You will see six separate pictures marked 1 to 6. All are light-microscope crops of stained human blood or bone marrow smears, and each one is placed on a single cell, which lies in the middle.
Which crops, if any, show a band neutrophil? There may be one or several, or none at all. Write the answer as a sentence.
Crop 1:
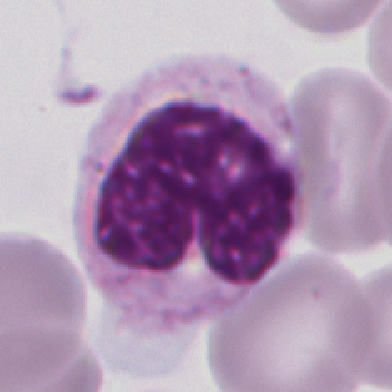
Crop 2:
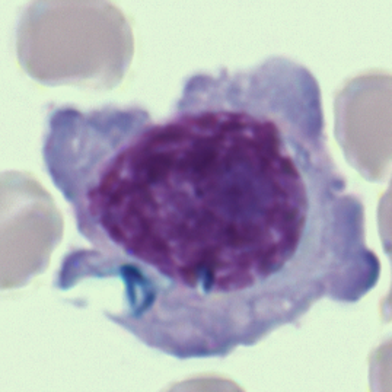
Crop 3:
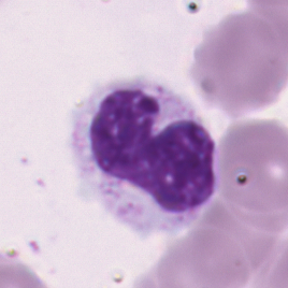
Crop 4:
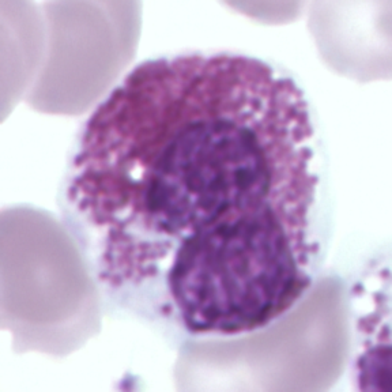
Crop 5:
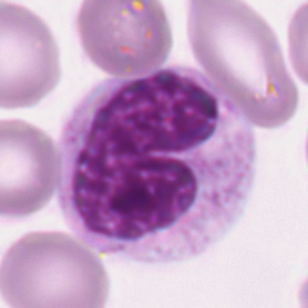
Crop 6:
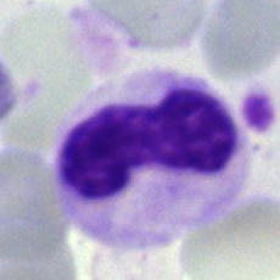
Those crops that show band neutrophils are 1, 3, 5 and 6.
